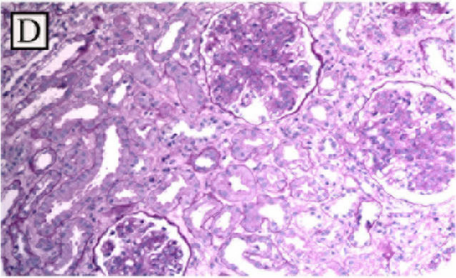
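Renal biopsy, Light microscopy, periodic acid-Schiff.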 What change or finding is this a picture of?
Diffuse endocapillary hypercellularity.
